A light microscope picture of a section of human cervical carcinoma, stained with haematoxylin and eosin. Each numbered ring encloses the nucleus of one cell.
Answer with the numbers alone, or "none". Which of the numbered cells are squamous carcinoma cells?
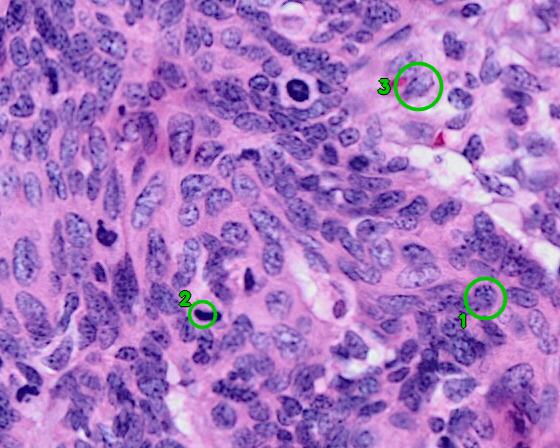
1, 2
